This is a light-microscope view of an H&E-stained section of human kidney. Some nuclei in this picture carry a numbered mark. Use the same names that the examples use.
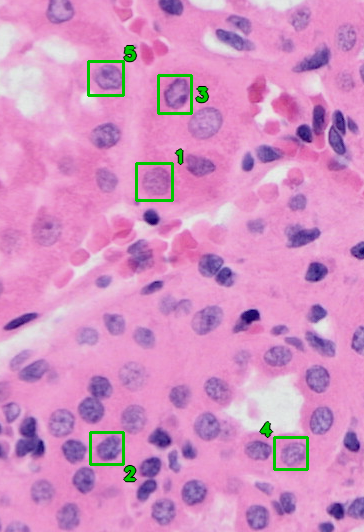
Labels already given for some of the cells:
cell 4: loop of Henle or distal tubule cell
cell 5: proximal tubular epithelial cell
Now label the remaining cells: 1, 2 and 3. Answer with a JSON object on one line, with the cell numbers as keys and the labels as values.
{"1": "proximal tubular epithelial cell", "2": "loop of Henle or distal tubule cell", "3": "proximal tubular epithelial cell"}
